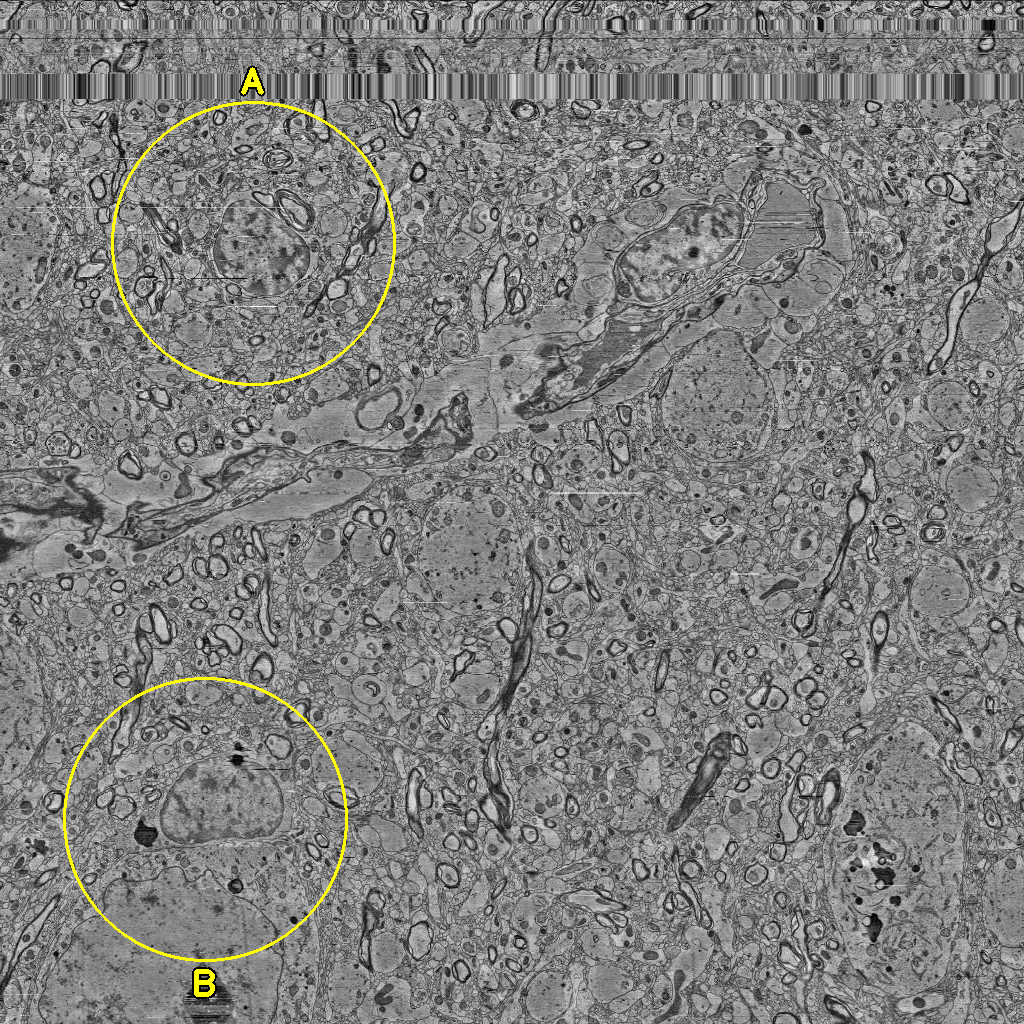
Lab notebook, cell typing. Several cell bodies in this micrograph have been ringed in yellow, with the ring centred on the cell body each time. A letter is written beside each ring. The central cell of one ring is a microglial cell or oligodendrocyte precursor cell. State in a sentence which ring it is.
It is ring A.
